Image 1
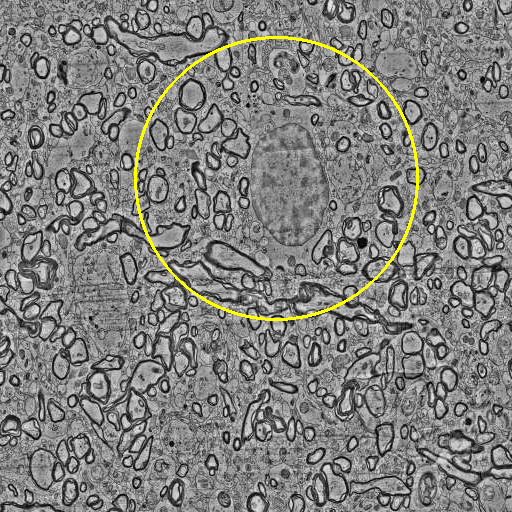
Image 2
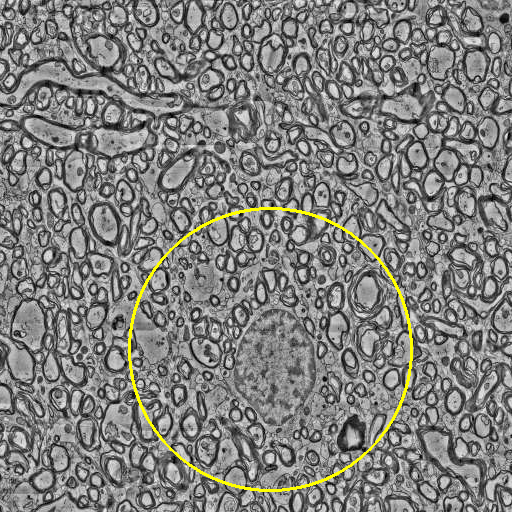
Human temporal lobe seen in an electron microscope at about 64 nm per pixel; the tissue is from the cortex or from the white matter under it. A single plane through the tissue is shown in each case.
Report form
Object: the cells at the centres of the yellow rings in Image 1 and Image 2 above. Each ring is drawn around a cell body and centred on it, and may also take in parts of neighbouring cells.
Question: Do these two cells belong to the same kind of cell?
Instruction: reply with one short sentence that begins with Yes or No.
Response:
Yes, both belong to the same kind of cell.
